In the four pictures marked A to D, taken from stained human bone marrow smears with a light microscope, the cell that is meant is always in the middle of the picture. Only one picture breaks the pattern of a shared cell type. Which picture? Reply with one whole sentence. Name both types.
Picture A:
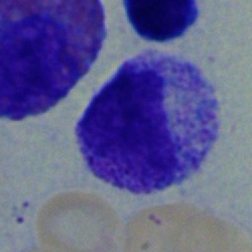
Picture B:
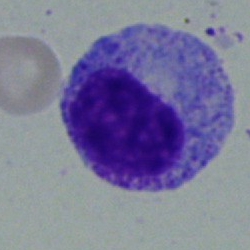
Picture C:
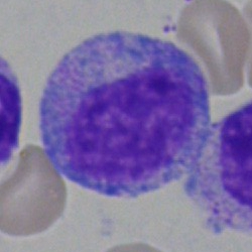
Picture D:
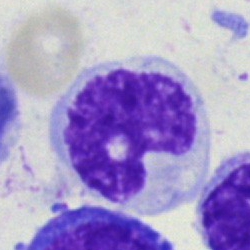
Picture D differs, because its cell is a monocyte and the rest are myelocytes.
